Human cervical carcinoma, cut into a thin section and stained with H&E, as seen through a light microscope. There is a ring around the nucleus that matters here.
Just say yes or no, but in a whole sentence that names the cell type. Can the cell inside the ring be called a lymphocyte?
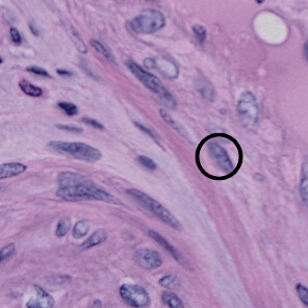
No, by cell type the cell inside the ring is a smooth muscle cell, not a lymphocyte.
